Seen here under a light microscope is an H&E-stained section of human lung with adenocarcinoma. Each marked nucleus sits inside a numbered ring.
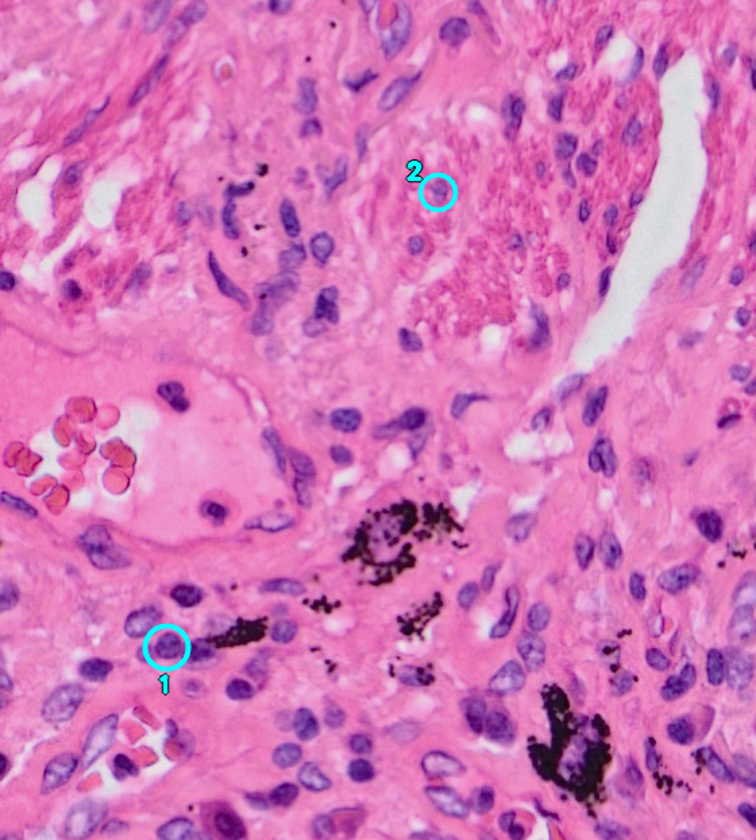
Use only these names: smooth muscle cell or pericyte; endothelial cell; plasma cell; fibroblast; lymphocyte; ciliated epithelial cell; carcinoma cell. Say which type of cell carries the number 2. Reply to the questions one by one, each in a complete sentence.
The cell identified by the number 2 is a smooth muscle cell or pericyte.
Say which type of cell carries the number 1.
That cell with number 1 is a lymphocyte.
